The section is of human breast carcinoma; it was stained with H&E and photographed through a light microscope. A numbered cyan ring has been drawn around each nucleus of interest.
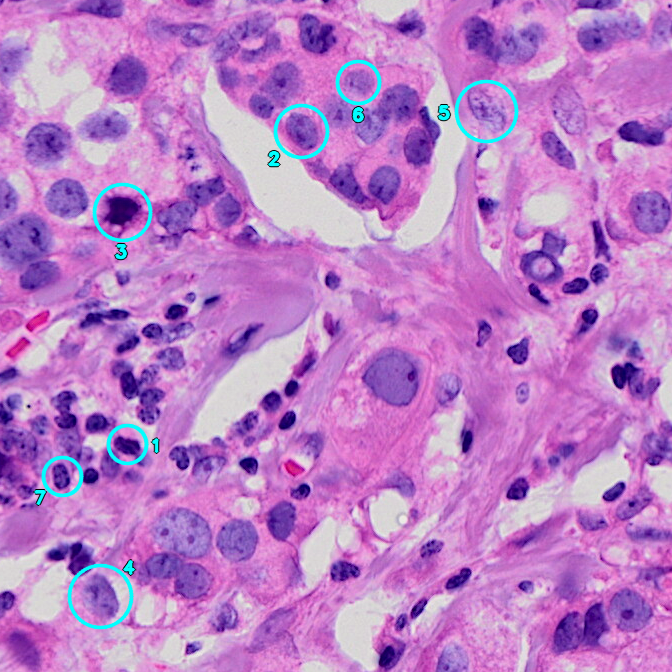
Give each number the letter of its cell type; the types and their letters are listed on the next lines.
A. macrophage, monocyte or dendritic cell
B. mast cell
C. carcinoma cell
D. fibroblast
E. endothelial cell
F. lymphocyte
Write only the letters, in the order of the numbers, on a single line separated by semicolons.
F; C; C; C; D; C; F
